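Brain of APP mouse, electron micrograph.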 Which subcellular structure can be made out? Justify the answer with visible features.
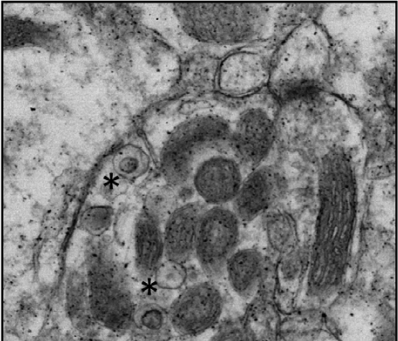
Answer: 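Mitochondria. A membrane-bound profile holds a cluster of round to oval dense organelles. The organelles have a double-membrane outline and a granular matrix.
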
